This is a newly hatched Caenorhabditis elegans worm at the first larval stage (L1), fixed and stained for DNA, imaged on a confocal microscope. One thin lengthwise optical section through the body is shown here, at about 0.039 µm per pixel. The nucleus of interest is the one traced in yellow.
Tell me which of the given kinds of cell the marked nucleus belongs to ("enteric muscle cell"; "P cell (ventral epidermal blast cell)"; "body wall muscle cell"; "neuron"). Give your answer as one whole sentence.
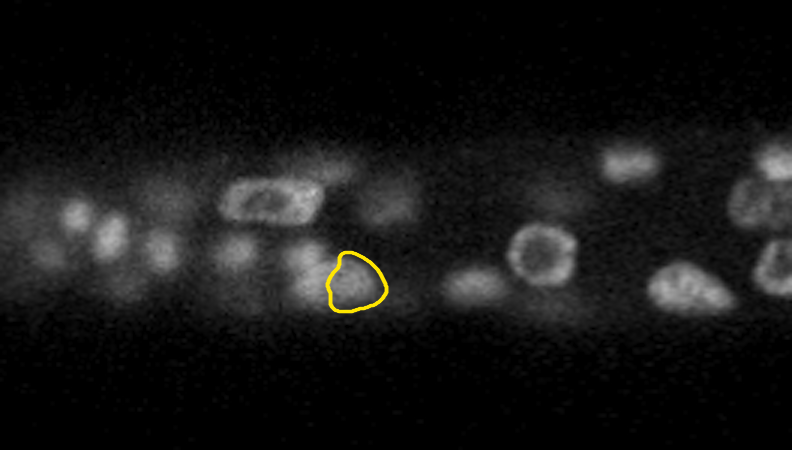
The marked cell is a P cell (ventral epidermal blast cell).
